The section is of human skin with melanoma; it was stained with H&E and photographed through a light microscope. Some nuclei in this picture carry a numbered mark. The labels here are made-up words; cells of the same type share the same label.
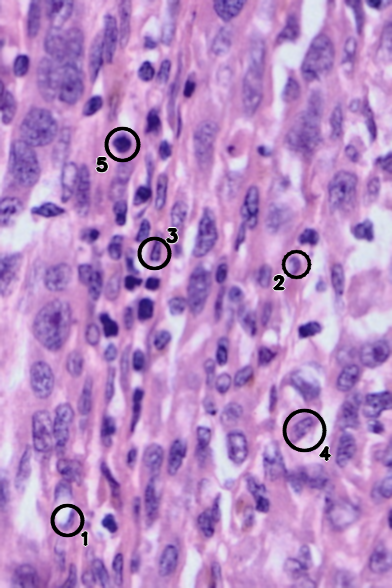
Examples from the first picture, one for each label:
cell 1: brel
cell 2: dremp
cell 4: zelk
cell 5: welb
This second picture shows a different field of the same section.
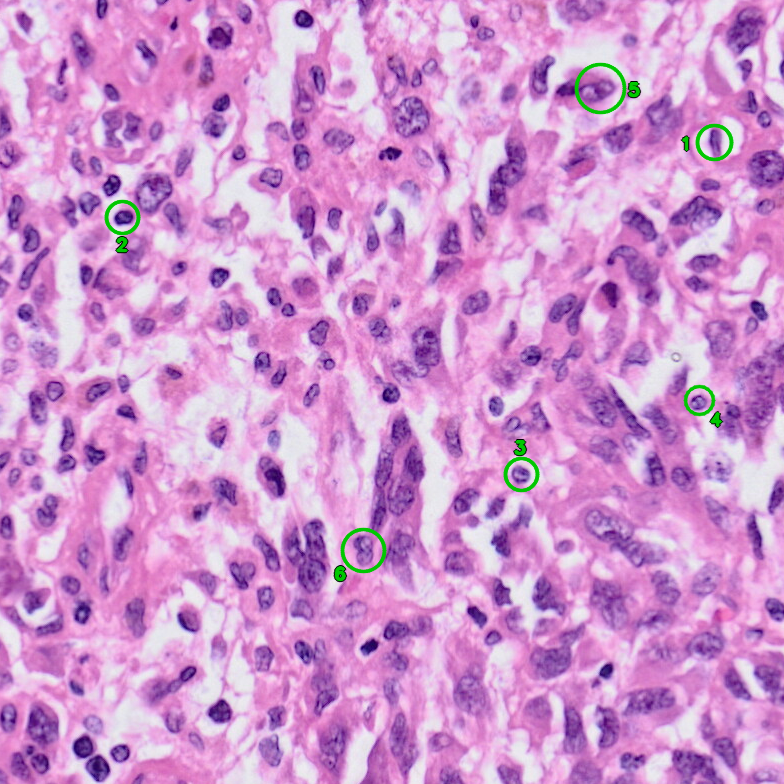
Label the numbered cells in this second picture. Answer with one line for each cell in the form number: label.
1: brel
2: welb
3: welb
4: welb
5: zelk
6: dremp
